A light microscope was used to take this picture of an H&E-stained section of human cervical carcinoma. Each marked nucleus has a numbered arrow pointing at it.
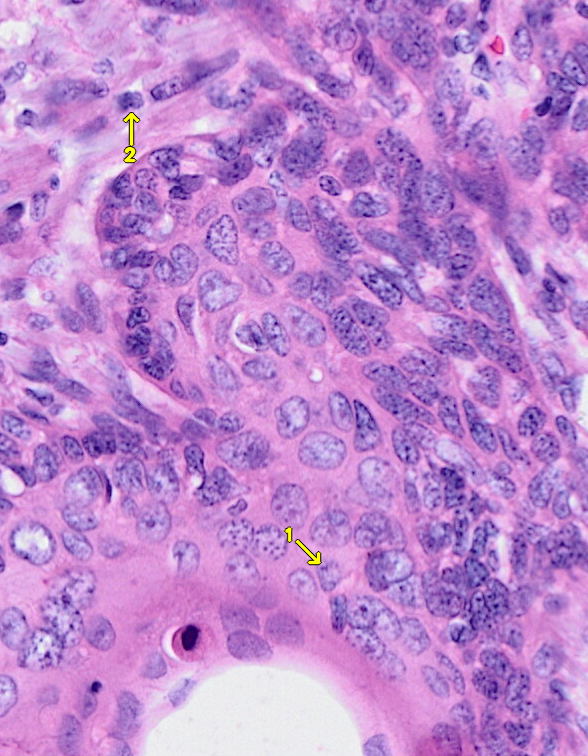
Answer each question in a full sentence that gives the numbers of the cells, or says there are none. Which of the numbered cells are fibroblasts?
Numbered cell by numbered cell, the tally of fibroblasts stays at zero.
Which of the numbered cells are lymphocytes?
Among all the marked cells, a lymphocyte is found only at number 2.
